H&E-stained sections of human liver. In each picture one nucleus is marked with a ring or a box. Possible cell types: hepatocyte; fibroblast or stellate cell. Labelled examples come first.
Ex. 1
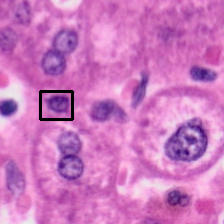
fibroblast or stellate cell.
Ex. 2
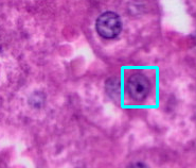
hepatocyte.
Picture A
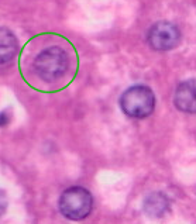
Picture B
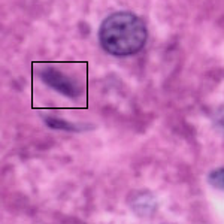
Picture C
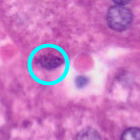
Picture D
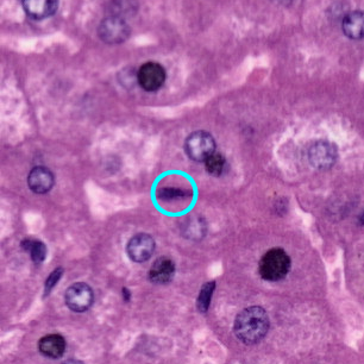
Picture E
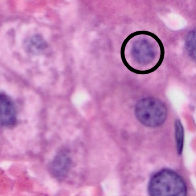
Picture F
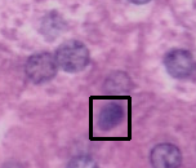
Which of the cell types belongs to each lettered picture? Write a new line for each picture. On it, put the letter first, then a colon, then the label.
A: hepatocyte.
B: fibroblast or stellate cell.
C: fibroblast or stellate cell.
D: fibroblast or stellate cell.
E: hepatocyte.
F: fibroblast or stellate cell.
